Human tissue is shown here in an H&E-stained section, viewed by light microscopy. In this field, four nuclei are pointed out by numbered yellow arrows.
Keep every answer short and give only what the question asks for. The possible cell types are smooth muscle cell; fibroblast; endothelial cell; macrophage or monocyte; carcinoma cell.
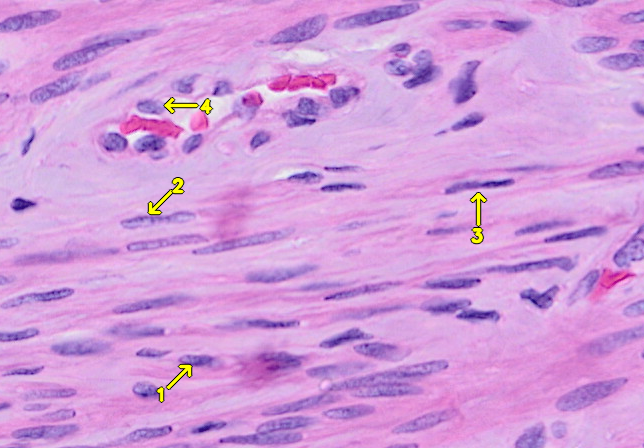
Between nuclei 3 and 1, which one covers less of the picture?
1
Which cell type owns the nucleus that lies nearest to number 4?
smooth muscle cell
